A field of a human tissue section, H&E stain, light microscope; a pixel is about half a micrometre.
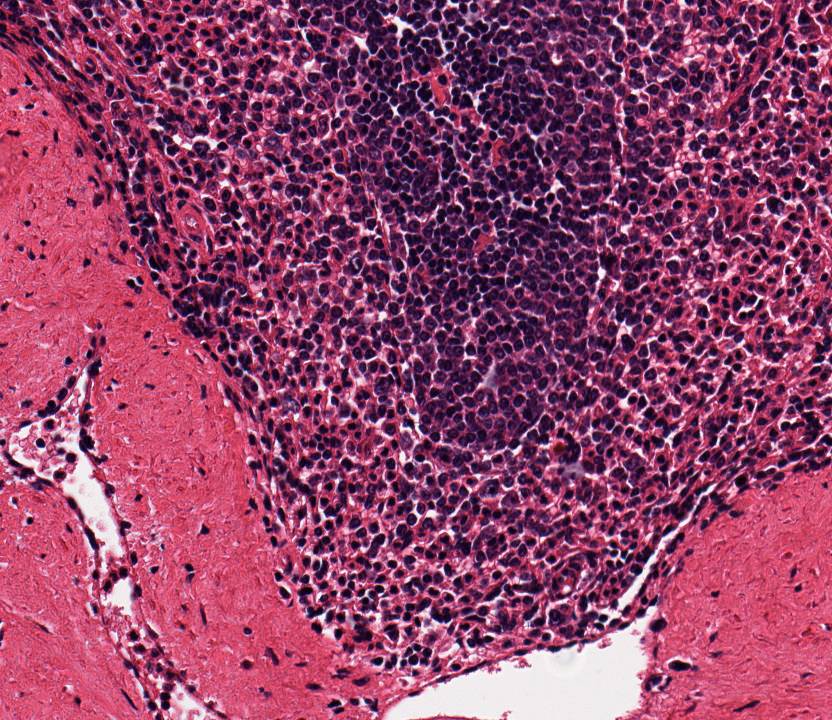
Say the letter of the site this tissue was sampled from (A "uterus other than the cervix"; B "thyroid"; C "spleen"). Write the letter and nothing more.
C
